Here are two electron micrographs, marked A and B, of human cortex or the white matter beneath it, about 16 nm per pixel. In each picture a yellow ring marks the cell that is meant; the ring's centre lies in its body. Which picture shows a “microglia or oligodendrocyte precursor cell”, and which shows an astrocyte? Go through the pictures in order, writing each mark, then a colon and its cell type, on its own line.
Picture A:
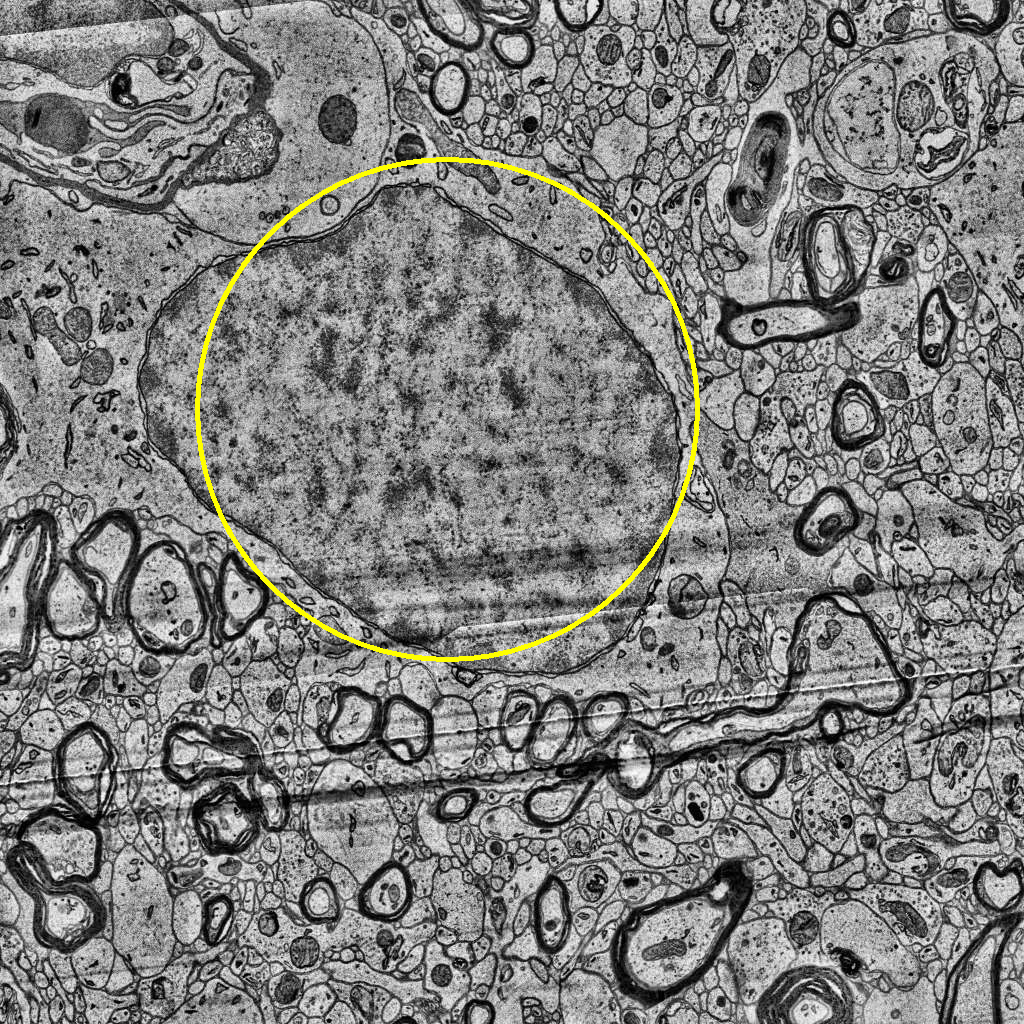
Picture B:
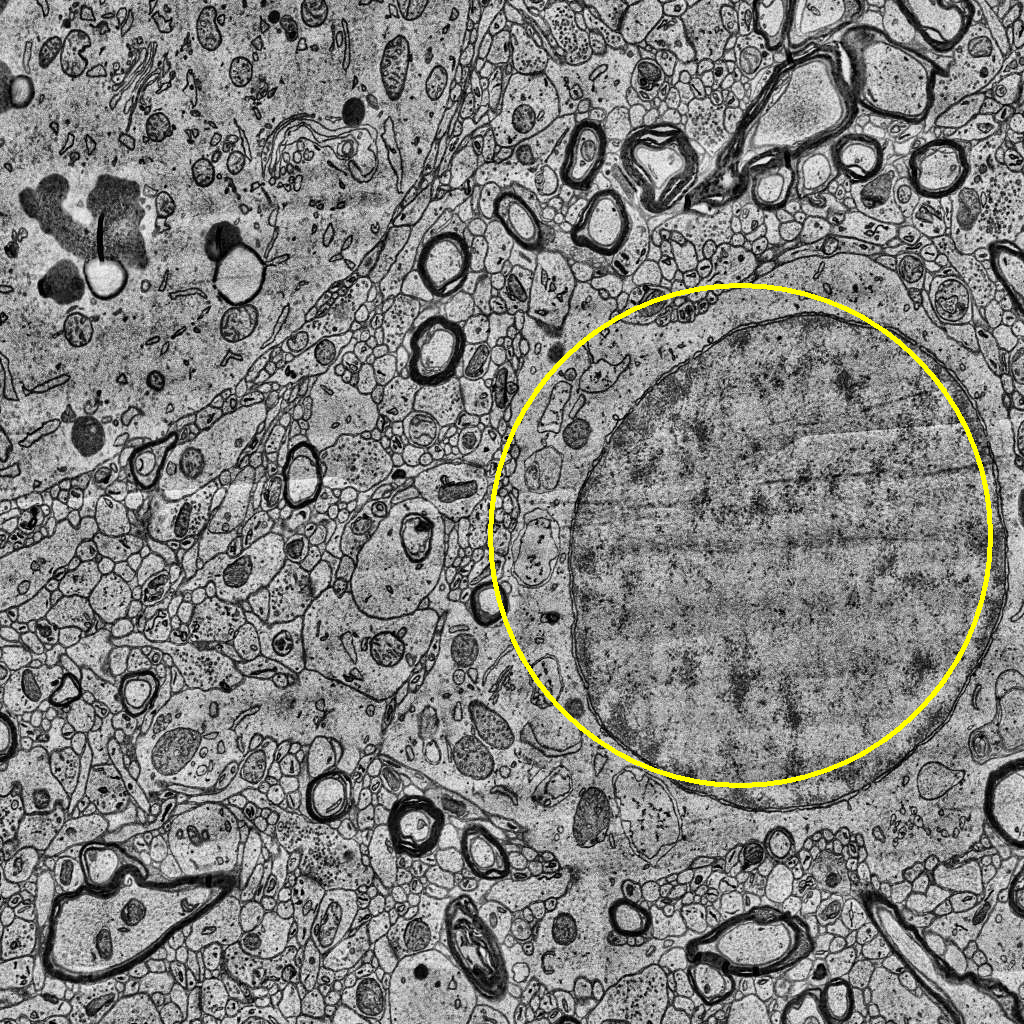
A: microglia or oligodendrocyte precursor cell
B: astrocyte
